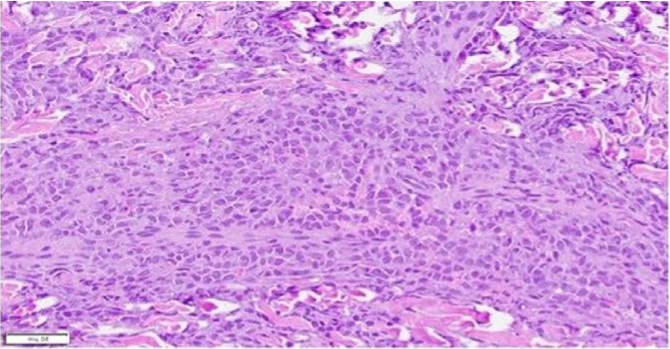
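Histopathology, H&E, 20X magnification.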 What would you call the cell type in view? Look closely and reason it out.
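A dense sheet of closely packed cells fills the centre of the field. The nuclei are large, dark purple and vary in size and shape. Pink fibrous bundles lie around the edges of the cell sheet.
Conclusion: enlarged atypical and mitotically active neoplastic cells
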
